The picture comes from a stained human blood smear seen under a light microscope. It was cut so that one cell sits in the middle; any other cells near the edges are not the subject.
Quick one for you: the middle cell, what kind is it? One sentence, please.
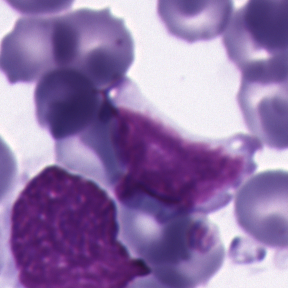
The cell sitting right in the middle is a myeloblast.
